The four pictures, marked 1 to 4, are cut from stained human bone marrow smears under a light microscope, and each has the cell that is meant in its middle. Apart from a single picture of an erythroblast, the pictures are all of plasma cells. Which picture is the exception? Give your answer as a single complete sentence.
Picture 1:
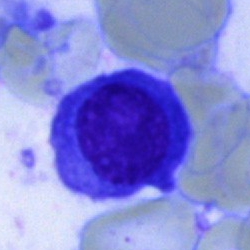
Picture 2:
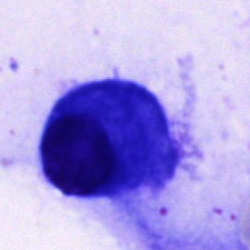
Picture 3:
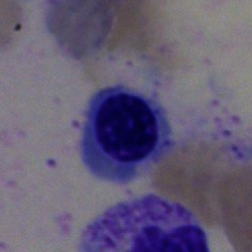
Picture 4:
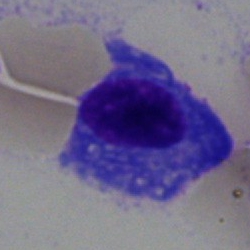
The picture with the erythroblast is 3.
